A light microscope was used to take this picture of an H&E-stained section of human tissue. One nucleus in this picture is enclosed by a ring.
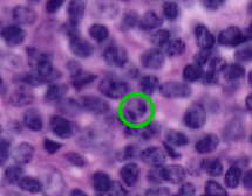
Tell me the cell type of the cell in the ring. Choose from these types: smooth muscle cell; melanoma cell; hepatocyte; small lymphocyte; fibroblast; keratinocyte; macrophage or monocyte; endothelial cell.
small lymphocyte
